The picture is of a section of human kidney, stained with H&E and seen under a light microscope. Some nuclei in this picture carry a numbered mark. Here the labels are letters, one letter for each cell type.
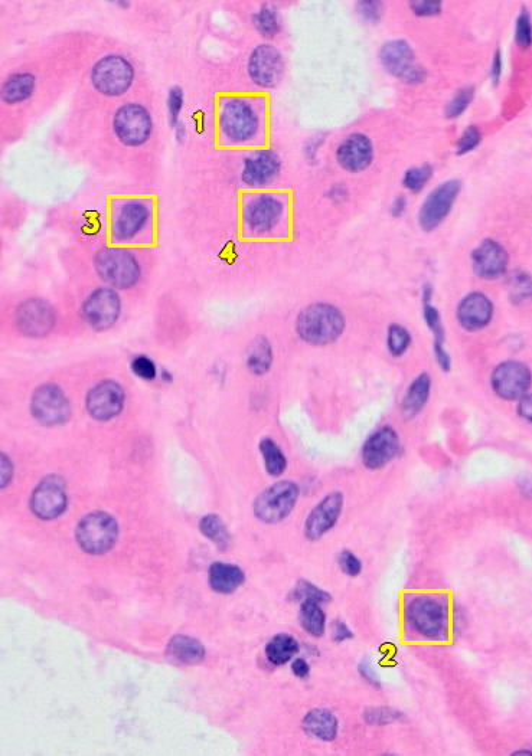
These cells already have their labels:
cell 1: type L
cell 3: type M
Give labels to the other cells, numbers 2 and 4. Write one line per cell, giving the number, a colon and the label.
2: type M
4: type L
